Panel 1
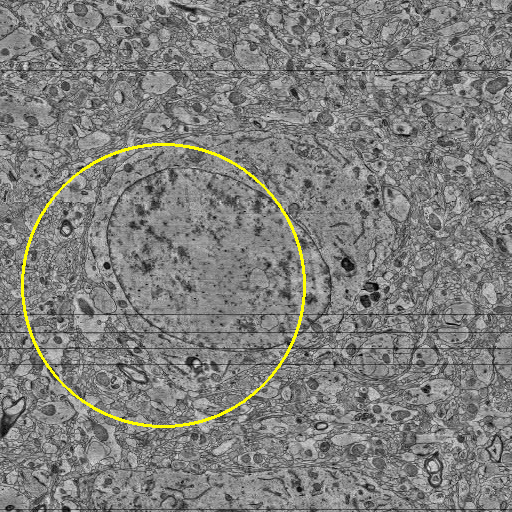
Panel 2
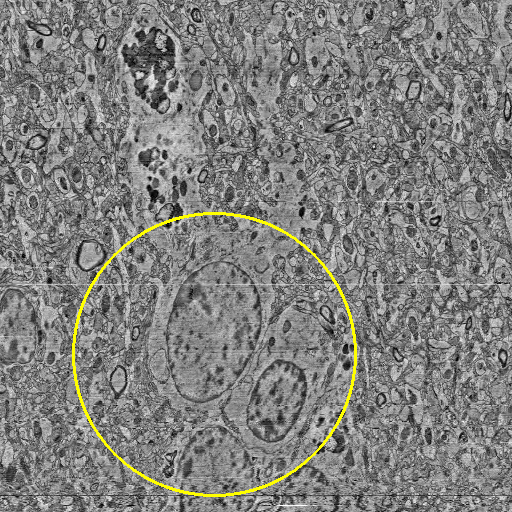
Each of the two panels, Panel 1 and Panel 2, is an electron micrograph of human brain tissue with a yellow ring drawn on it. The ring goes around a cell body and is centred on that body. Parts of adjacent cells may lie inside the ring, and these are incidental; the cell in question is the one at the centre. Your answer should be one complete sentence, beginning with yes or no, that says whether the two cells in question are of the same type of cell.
No, the two cells are of two types.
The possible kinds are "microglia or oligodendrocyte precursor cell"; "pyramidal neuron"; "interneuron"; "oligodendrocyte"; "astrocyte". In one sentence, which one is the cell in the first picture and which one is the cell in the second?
The cell ringed in the second picture is an astrocyte, whereas the one ringed in the first is a pyramidal neuron.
